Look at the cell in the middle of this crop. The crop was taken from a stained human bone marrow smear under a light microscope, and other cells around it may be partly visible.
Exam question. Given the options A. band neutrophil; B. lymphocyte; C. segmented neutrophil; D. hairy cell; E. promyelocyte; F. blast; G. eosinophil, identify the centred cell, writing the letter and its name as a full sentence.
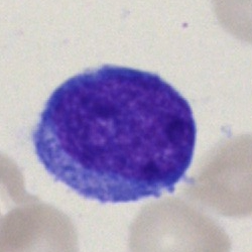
The middle of the crop contains a blast, so option F is right.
